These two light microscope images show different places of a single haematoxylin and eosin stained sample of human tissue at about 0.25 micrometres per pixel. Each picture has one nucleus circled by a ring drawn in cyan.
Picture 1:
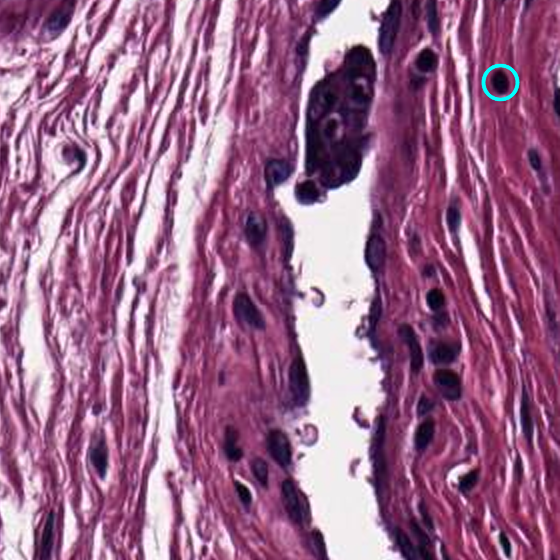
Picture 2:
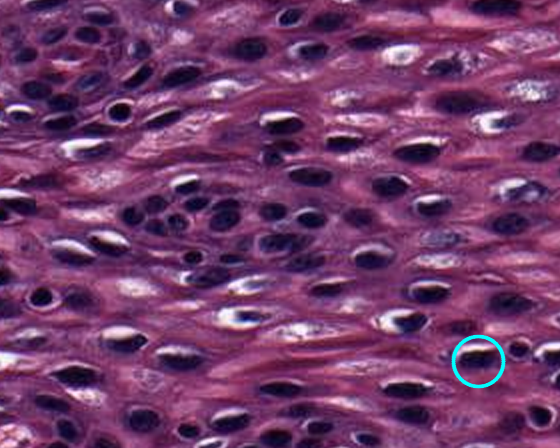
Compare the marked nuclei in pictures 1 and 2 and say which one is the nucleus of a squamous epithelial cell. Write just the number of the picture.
2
